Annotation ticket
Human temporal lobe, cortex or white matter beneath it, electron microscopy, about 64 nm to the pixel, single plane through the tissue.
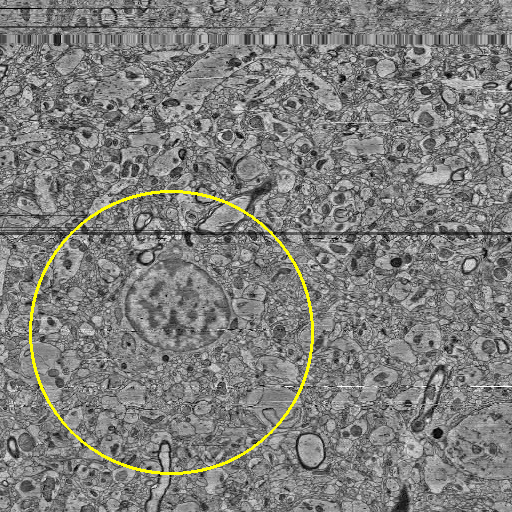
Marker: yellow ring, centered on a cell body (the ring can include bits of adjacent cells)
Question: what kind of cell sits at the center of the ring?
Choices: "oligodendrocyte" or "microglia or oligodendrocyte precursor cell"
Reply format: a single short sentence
The ring is centered on an oligodendrocyte.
